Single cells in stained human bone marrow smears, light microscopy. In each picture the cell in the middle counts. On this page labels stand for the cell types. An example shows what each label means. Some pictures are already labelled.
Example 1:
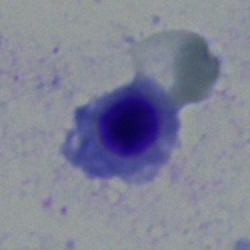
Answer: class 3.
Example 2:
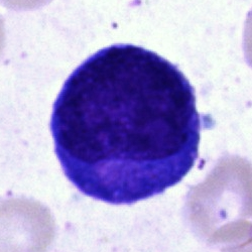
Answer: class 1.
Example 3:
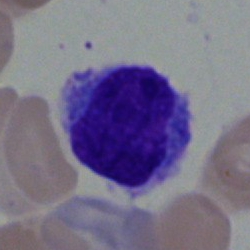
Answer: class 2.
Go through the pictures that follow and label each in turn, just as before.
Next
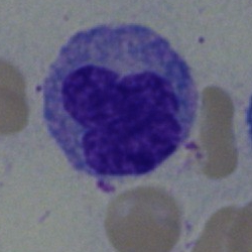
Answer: class 2.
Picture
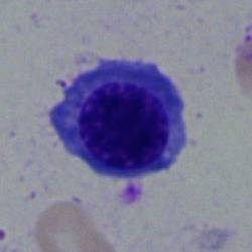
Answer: class 3.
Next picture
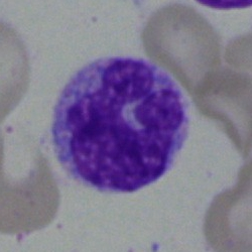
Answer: class 2.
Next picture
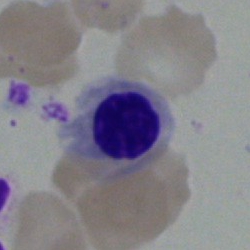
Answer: class 3.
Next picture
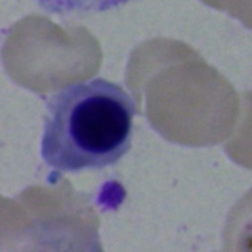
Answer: class 3.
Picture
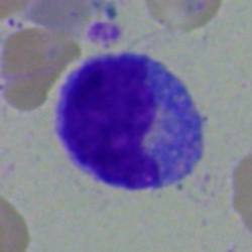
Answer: class 2.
